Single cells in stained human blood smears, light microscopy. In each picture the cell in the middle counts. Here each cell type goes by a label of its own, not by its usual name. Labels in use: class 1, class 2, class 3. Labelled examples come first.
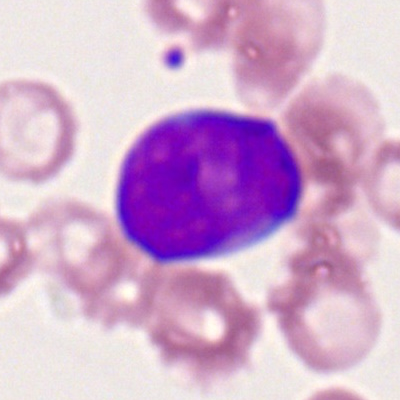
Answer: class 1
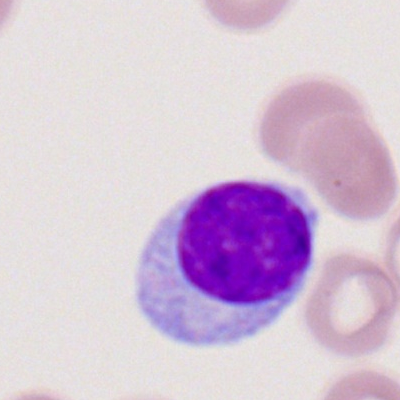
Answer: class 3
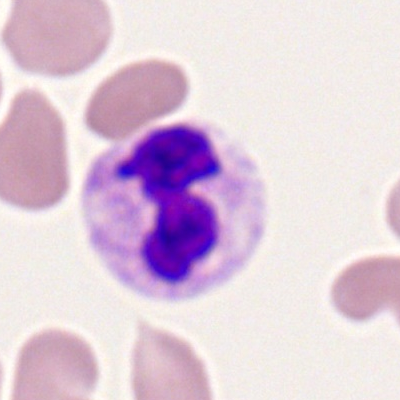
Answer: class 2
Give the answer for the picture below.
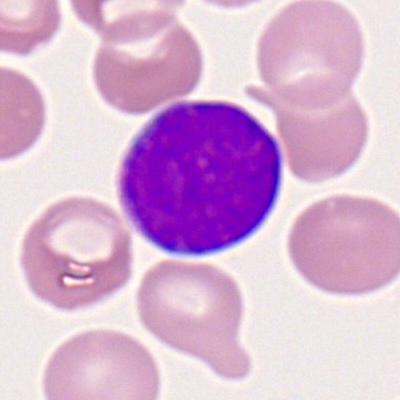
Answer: class 1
